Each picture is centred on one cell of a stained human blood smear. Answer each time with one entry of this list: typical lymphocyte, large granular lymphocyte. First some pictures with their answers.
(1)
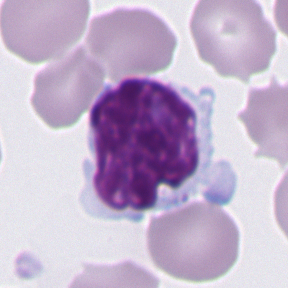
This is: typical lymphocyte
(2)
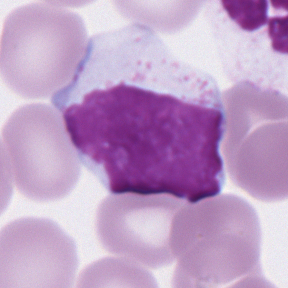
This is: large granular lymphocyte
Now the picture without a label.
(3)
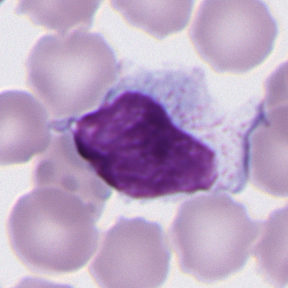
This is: large granular lymphocyte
